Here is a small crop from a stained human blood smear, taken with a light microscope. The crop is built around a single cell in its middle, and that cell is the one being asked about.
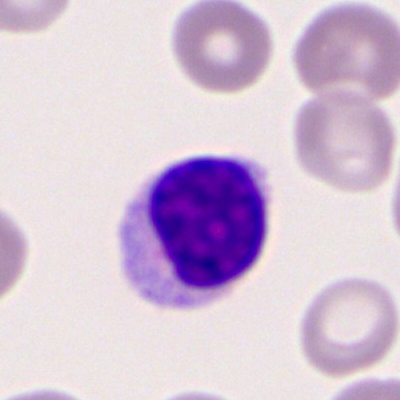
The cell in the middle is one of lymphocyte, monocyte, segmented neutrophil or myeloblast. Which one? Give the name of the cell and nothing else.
lymphocyte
